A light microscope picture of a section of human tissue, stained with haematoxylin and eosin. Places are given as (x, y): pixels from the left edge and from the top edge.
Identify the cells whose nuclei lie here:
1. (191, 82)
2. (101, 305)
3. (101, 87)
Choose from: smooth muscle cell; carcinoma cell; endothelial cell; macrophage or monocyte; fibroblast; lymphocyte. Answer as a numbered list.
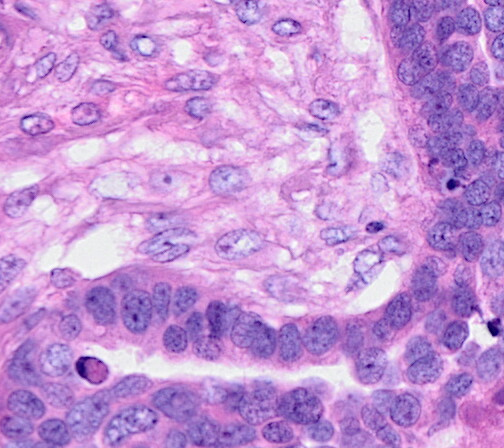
1. fibroblast
2. carcinoma cell
3. fibroblast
